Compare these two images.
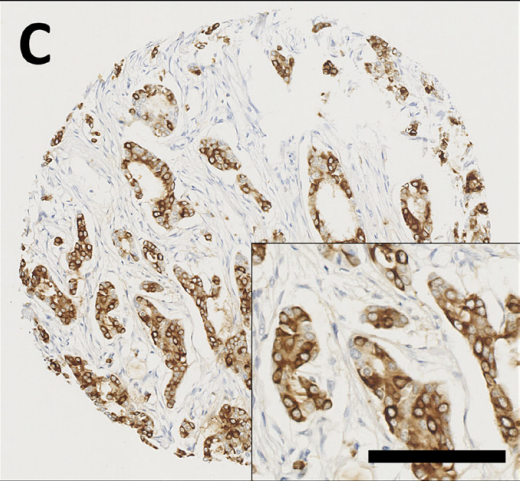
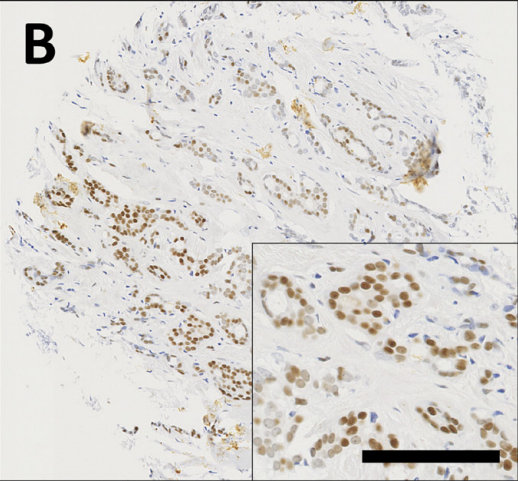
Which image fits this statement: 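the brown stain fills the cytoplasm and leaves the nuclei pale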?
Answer: the first image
